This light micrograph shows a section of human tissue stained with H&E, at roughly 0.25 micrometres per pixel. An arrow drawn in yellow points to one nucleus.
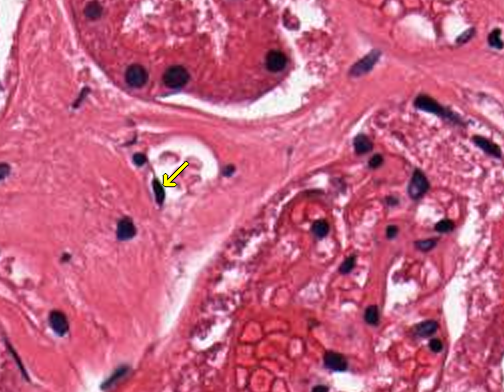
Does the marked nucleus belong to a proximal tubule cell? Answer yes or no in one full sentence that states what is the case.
No, the marked nucleus is not borne by a proximal tubule cell; it is borne by a supporting cell.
